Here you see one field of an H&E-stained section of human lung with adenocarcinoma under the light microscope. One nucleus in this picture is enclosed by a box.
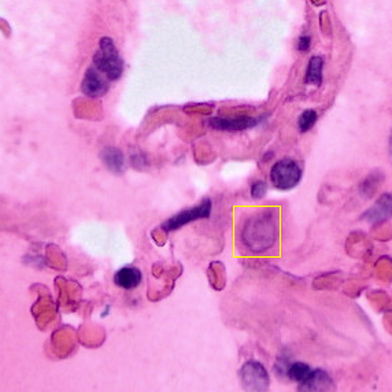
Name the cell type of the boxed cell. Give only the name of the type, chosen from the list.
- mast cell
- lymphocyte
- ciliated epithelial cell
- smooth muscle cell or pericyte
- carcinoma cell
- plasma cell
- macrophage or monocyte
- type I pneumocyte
macrophage or monocyte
